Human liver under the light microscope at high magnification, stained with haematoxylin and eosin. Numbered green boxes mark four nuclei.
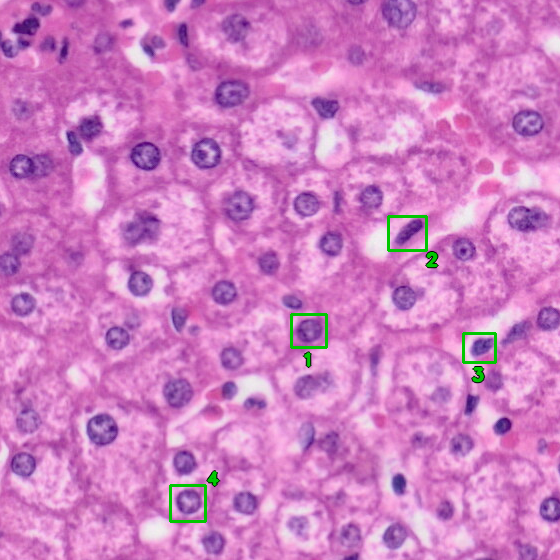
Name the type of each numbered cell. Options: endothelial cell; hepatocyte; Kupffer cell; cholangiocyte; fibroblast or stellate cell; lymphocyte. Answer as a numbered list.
1. hepatocyte
2. Kupffer cell
3. lymphocyte
4. hepatocyte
